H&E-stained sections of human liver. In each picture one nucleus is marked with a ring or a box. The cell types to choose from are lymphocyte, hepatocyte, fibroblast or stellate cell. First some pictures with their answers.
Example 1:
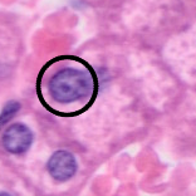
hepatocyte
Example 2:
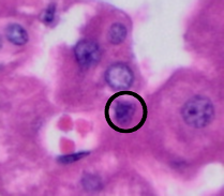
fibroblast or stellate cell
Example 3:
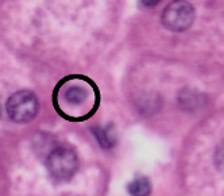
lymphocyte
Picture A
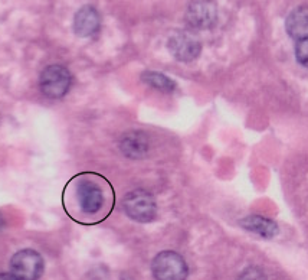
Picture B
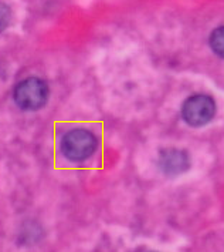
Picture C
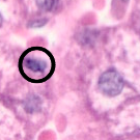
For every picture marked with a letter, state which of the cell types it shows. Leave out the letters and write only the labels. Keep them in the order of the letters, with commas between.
fibroblast or stellate cell, hepatocyte, fibroblast or stellate cell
